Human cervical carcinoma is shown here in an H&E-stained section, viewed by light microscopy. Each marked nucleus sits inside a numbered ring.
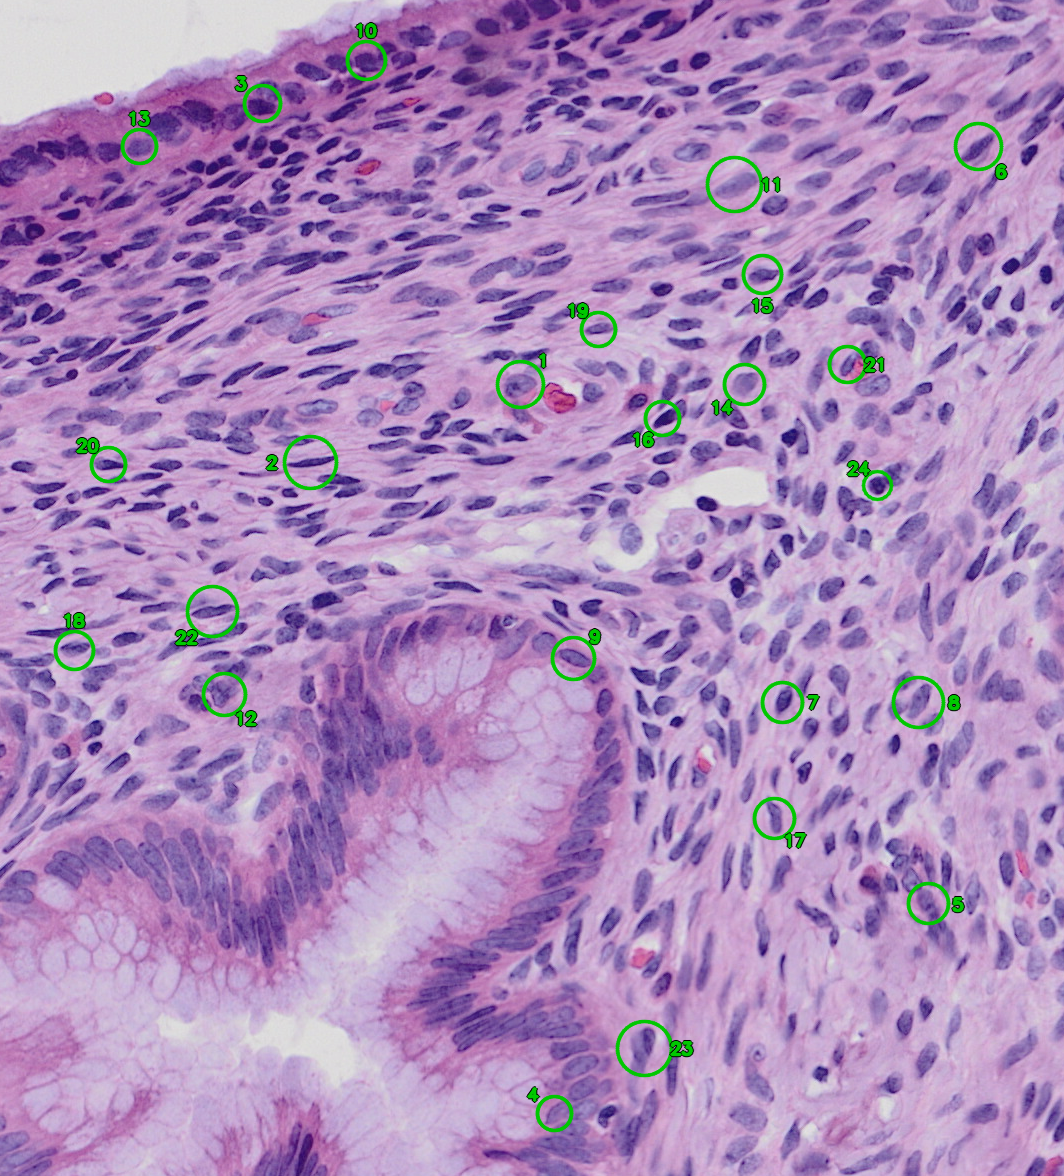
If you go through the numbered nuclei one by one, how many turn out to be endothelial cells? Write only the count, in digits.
4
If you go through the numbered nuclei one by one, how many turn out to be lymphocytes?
2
